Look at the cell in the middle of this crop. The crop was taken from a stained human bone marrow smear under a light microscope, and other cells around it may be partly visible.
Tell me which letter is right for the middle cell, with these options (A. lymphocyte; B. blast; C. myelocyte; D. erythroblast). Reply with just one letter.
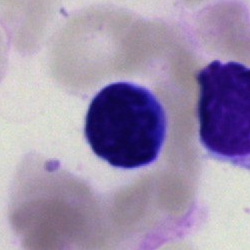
A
